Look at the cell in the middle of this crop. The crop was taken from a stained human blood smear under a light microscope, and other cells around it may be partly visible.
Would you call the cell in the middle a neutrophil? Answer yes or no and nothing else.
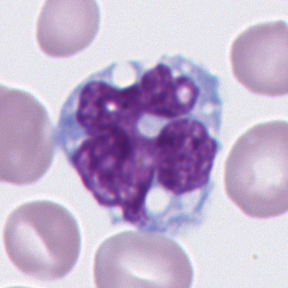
no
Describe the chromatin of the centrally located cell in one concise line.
The chromatin within its nucleus forms coarse clumps.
